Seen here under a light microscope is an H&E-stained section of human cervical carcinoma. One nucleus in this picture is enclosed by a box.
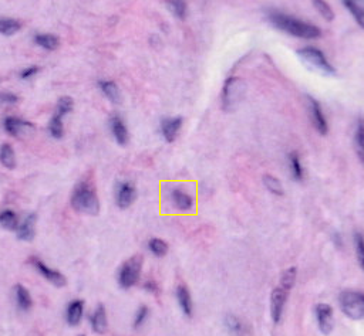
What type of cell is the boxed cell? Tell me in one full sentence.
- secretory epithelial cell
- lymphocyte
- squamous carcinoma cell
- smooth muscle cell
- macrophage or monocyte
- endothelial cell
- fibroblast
The classification of the boxed cell is as a smooth muscle cell.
